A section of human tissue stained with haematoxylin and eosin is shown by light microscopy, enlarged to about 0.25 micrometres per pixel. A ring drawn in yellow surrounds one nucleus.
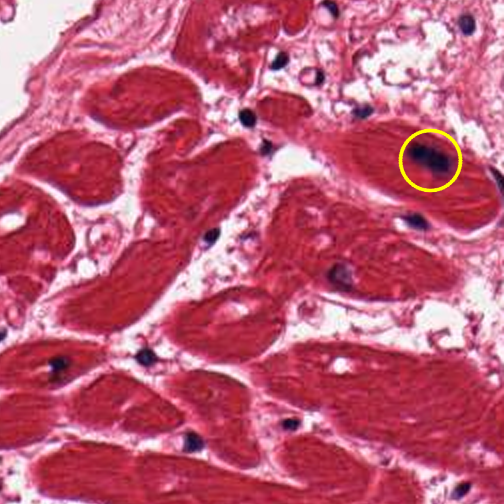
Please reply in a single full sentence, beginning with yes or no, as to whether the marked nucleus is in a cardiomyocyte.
Yes, belonging to a cardiomyocyte is the marked nucleus.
